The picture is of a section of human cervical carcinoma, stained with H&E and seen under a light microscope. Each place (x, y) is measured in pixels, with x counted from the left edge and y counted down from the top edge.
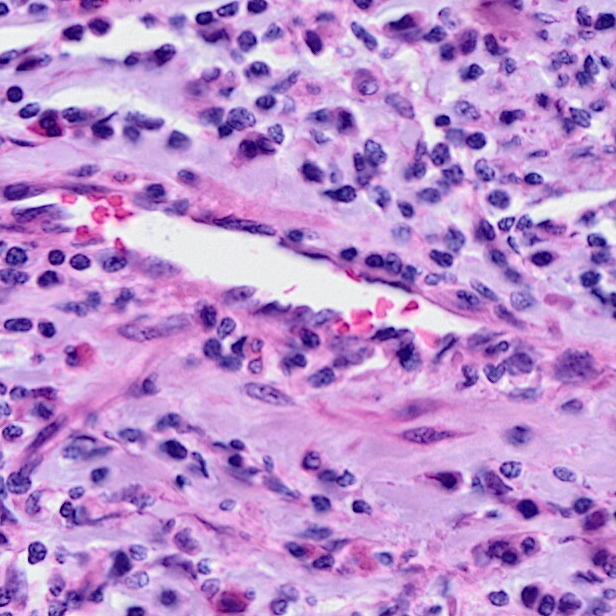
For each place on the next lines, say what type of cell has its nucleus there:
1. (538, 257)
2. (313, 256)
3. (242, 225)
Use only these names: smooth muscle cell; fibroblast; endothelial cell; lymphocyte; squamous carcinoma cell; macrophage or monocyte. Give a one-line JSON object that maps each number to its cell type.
{"1": "lymphocyte", "2": "endothelial cell", "3": "endothelial cell"}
